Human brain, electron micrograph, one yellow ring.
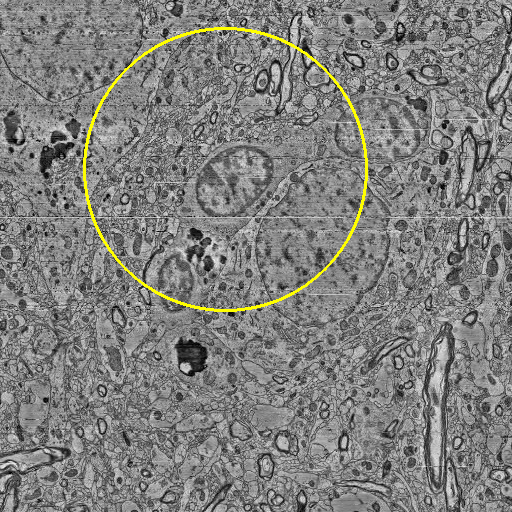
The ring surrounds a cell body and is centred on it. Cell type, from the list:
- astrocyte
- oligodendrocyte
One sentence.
The yellow ring circles an oligodendrocyte.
